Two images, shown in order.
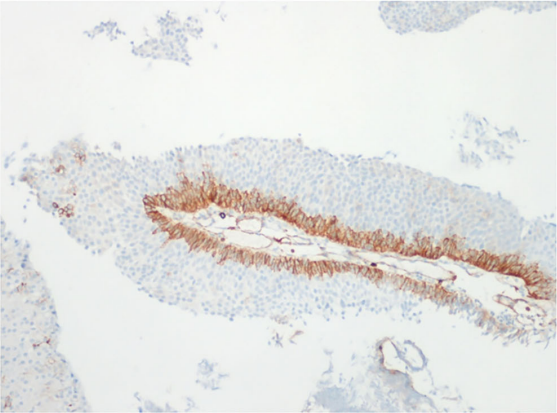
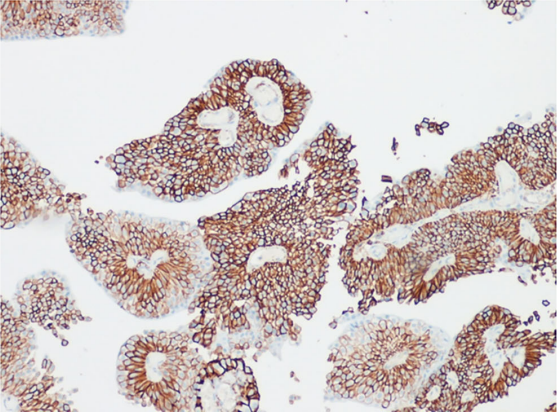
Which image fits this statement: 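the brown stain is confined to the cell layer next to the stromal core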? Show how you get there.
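The first image. Second image: brown membranous stain outlines nearly all cells through the full thickness of the epithelium. First image: brown stain only in the cells along the central core, the rest of the epithelium unstained.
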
